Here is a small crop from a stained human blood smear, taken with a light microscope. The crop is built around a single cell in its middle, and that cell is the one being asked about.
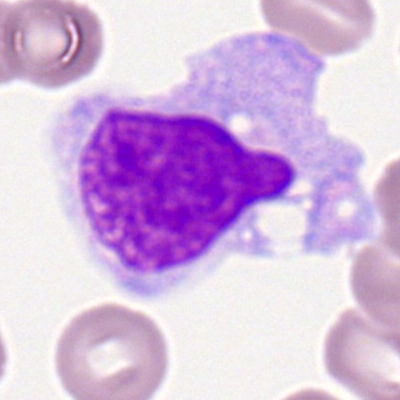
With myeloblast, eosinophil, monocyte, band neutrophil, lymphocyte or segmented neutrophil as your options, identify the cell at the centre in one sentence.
The cell of interest, located centrally, is a monocyte.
